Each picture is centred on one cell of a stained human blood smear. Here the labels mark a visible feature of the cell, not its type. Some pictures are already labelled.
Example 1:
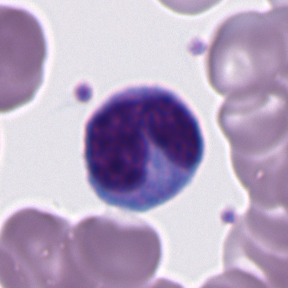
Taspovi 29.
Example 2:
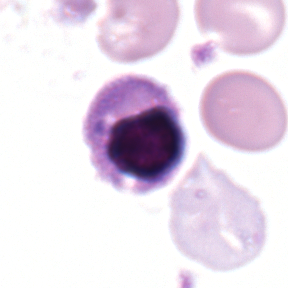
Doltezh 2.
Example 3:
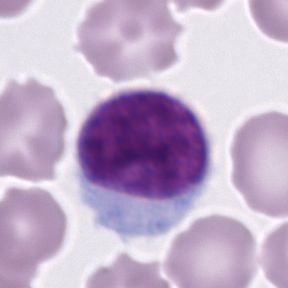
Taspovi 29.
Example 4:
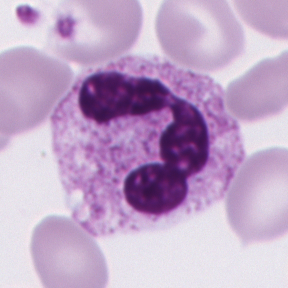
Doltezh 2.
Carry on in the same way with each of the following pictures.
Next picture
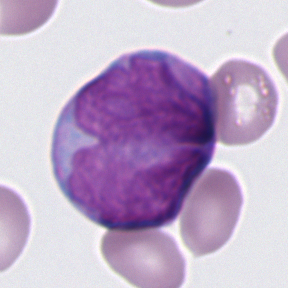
Taspovi 29.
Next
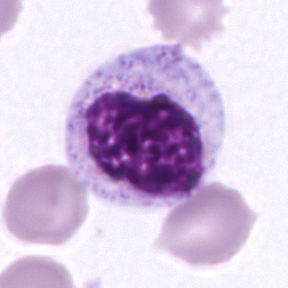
Doltezh 2.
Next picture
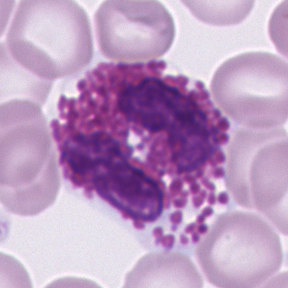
Doltezh 2.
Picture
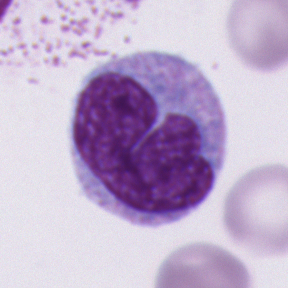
Taspovi 29.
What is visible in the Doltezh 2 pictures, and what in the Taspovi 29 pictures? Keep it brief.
Doltezh 2: ragged outline or projections; Taspovi 29: smooth outline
